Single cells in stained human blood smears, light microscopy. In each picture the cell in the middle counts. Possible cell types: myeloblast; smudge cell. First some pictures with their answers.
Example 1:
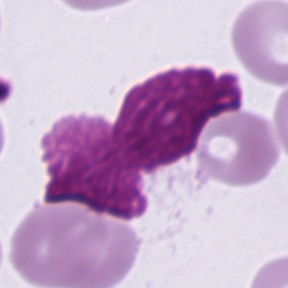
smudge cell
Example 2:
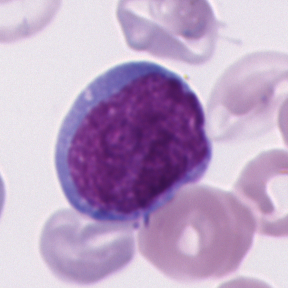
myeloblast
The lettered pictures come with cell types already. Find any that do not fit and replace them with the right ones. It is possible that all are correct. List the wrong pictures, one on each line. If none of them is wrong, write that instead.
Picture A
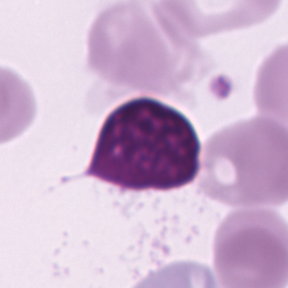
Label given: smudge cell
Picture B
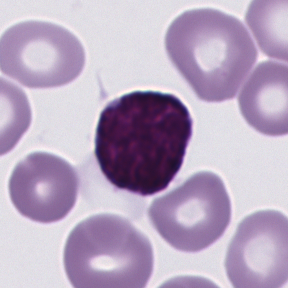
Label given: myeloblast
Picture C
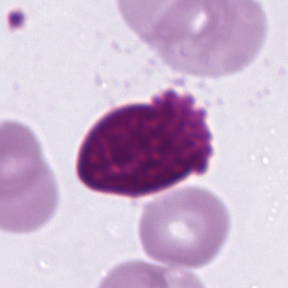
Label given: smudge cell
None of the labels needs changing.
